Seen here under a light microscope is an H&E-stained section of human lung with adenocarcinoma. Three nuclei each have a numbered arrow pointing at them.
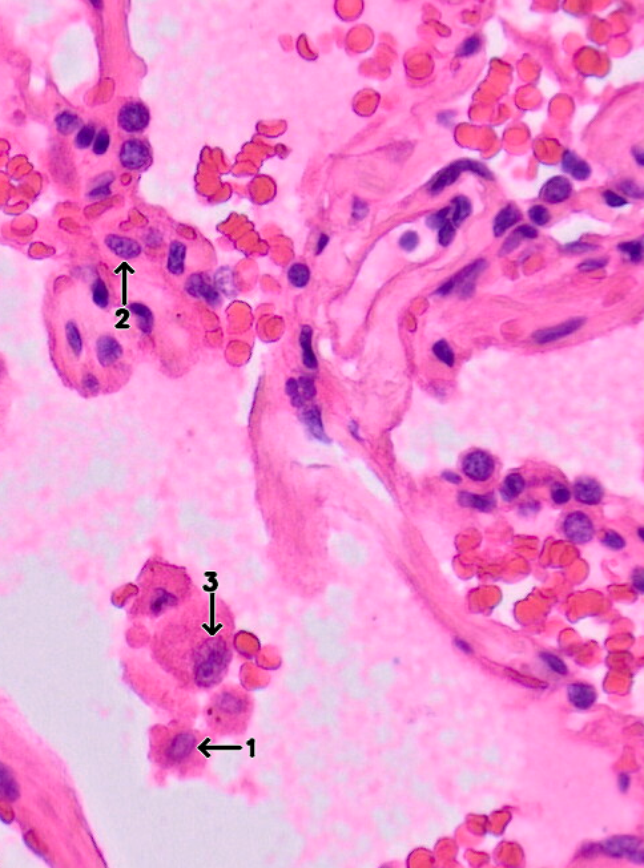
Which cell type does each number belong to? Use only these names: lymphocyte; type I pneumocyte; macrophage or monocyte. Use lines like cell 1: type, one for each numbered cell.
cell 1: macrophage or monocyte
cell 2: type I pneumocyte
cell 3: macrophage or monocyte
